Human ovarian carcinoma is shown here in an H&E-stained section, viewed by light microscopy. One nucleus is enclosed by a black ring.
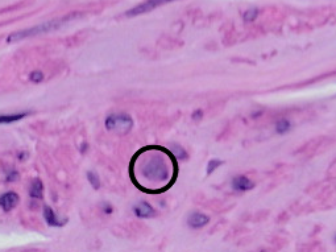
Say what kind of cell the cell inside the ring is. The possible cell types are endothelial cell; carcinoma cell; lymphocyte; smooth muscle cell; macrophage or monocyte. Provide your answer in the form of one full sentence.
Histopathologically, the cell inside the ring is a smooth muscle cell.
